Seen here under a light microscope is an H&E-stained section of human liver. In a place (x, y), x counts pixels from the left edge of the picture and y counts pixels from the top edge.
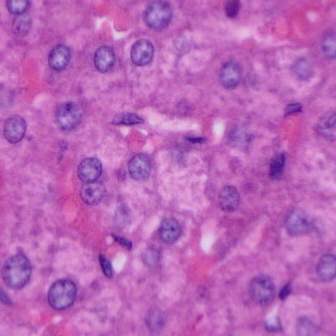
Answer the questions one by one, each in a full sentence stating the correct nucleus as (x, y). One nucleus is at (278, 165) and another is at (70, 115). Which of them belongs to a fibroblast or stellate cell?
The nucleus at (278, 165) is identified as belonging to a fibroblast or stellate cell.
